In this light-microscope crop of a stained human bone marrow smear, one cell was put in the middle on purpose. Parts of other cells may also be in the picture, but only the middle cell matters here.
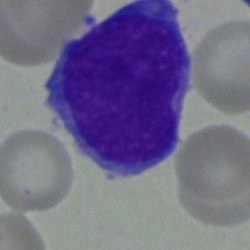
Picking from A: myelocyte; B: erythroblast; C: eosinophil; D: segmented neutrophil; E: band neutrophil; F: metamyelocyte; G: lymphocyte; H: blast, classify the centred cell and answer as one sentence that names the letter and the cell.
Well, the cell in the middle is a blast, making option H right.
